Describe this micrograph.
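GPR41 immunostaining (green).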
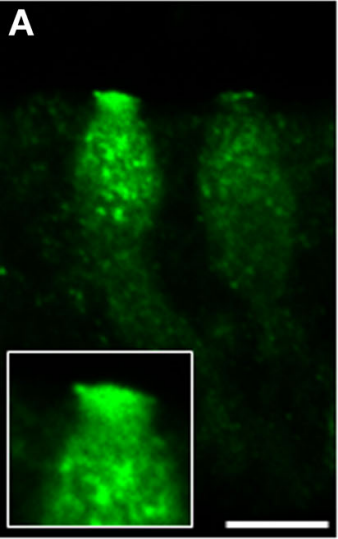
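Two brush cells stand side by side, labelled green, each with a pear-shaped body tapering toward a narrow upper end. The left cell carries an intense bright tuft at its apex, a dense brush of microvilli, shown enlarged in the inset; its cytoplasm below contains granular, patchy green puncta. The right cell is more weakly stained with finer granular signal and a smaller bright spot at its top. Both cells narrow downward into fainter lower portions. The surrounding tissue is dark with scattered faint background dots.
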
